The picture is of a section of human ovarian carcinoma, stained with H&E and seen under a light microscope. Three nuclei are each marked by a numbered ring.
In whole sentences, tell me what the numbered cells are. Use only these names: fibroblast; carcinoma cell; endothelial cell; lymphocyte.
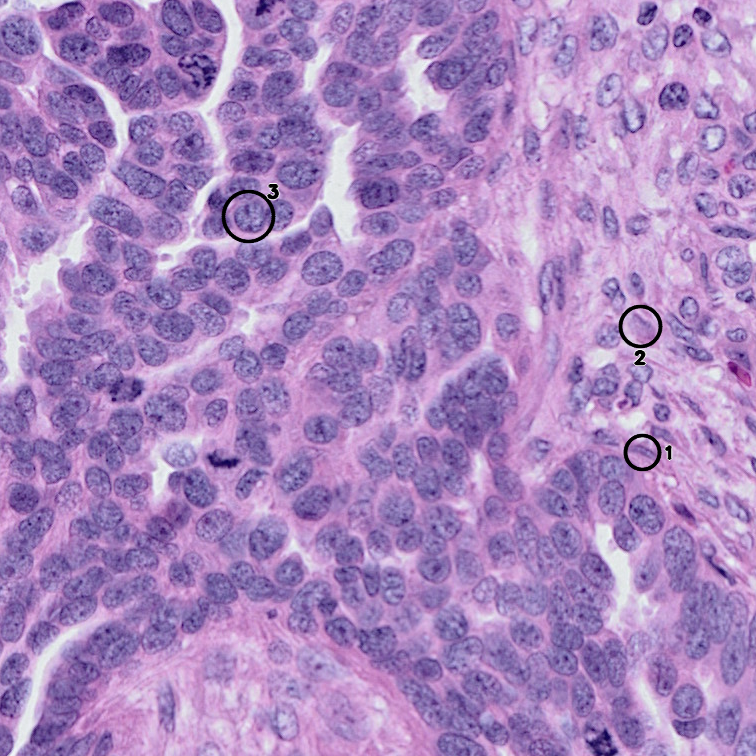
Cells 1 and 2 are fibroblasts. Cell 3 is a carcinoma cell.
